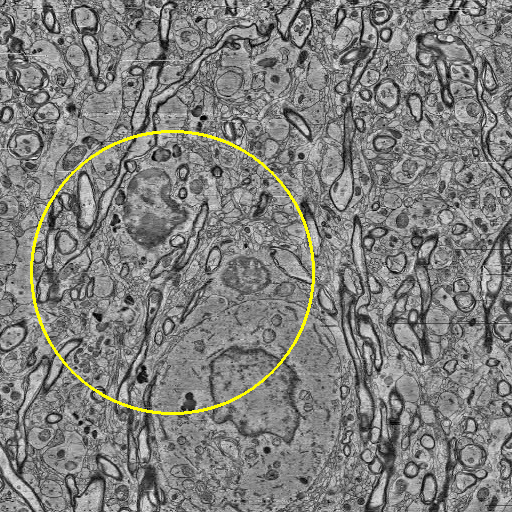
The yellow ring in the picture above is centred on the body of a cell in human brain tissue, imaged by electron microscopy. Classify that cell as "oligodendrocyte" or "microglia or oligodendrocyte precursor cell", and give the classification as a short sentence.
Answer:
The cell in the middle of the ring is a microglial cell or oligodendrocyte precursor cell.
